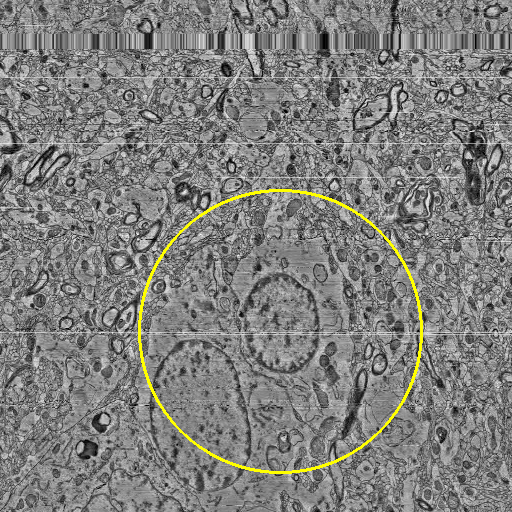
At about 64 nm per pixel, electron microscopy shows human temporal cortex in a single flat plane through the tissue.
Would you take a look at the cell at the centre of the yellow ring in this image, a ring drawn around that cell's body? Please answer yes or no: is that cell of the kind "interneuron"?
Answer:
no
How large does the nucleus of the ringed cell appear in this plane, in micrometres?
The nucleus is approximately 6 micrometers long by 5 micrometers wide in this plane.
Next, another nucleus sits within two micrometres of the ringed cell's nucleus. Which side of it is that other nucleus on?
That other nucleus lies to the lower left of it.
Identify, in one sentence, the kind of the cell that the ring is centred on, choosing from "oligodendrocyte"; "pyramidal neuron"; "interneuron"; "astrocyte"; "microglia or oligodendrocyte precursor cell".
The cell that the ring is centred on is an astrocyte.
